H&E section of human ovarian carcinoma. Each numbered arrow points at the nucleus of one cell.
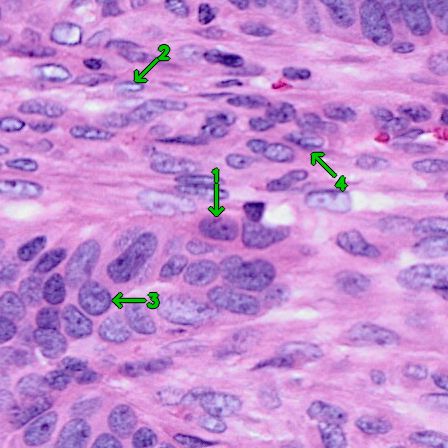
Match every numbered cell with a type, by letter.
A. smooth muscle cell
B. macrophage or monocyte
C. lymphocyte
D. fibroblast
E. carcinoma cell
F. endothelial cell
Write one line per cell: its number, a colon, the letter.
1: E
2: D
3: E
4: F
